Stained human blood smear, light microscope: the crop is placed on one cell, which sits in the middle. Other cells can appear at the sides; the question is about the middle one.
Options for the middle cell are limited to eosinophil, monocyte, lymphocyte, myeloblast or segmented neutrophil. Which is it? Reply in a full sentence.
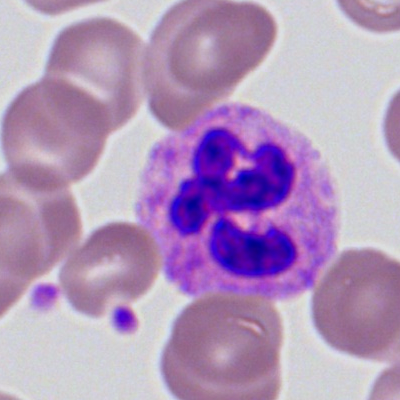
Here the centrally located cell is a segmented neutrophil.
